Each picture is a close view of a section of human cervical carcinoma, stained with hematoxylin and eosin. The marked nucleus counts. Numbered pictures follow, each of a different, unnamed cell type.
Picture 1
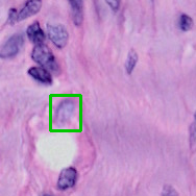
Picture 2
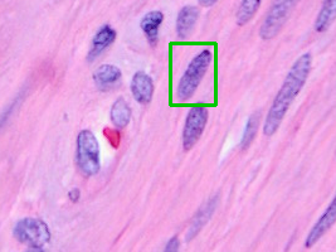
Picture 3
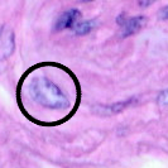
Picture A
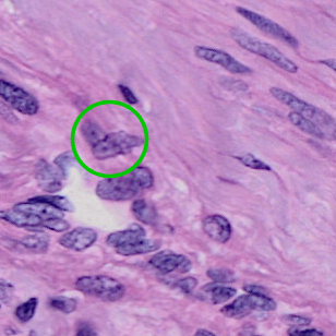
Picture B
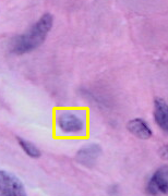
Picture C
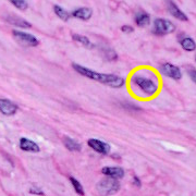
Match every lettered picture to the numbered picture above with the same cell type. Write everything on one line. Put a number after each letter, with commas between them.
A 1, B 2, C 3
